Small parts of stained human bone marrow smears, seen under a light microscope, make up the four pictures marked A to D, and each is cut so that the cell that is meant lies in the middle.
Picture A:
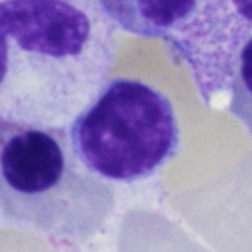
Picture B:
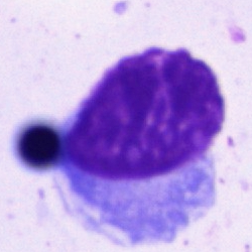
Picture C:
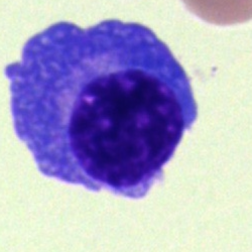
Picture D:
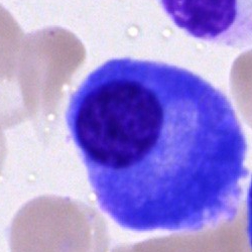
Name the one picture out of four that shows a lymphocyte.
A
